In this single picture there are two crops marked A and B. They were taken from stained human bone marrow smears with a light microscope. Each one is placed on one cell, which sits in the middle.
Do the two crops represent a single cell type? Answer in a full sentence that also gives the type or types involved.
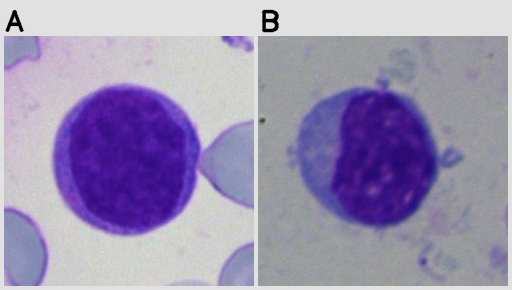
Yes, with regard to both crops, the central cells are blasts.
